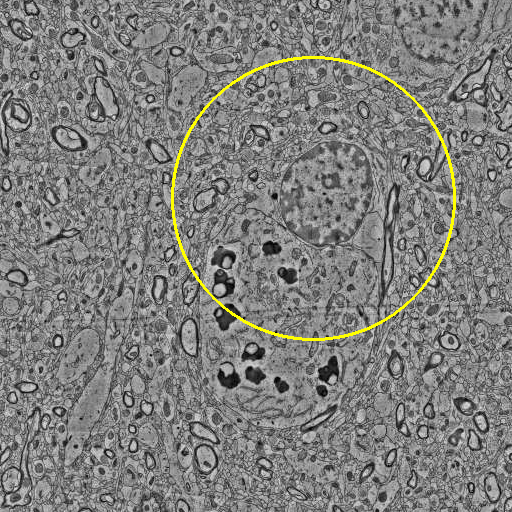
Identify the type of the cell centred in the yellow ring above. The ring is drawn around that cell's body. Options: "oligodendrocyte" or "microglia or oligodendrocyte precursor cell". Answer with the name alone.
microglia or oligodendrocyte precursor cell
